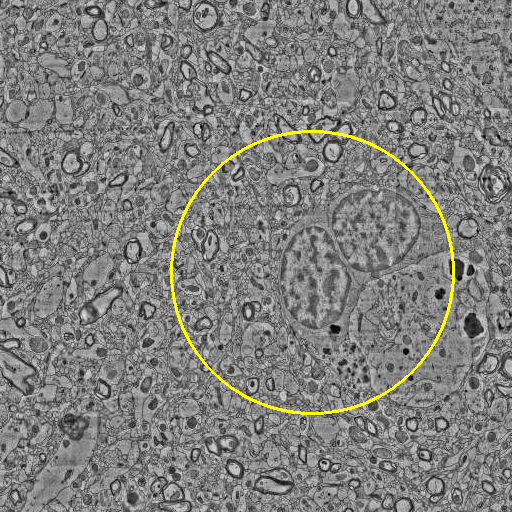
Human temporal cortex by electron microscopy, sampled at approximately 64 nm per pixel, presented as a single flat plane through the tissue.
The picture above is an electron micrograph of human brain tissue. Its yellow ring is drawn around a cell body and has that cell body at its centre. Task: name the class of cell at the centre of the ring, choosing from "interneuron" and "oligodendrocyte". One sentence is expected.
The ring surrounds the body of an oligodendrocyte.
